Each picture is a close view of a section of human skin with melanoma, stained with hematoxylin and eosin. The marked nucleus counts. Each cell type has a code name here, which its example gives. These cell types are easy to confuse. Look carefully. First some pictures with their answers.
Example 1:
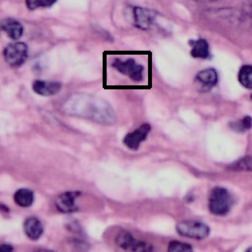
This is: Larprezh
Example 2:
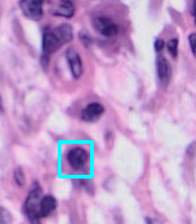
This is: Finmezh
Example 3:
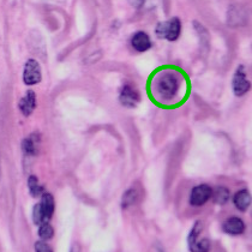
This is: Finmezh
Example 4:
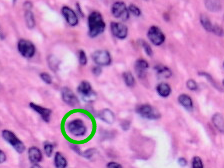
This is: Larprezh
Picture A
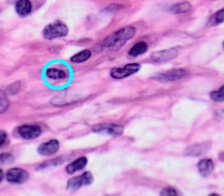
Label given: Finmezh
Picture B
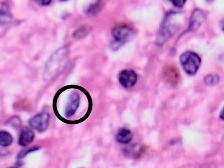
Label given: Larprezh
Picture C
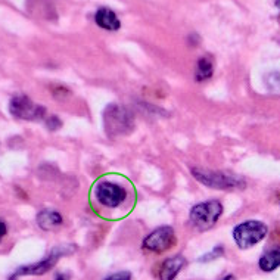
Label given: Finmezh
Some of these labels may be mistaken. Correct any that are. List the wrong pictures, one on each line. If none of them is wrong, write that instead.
All correct.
